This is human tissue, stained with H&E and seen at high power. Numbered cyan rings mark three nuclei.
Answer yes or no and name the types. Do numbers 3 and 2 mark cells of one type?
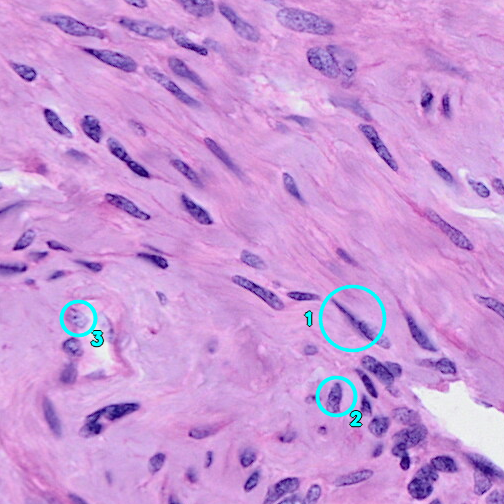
No, cell 3 is an endothelial cell and cell 2 is a fibroblast.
